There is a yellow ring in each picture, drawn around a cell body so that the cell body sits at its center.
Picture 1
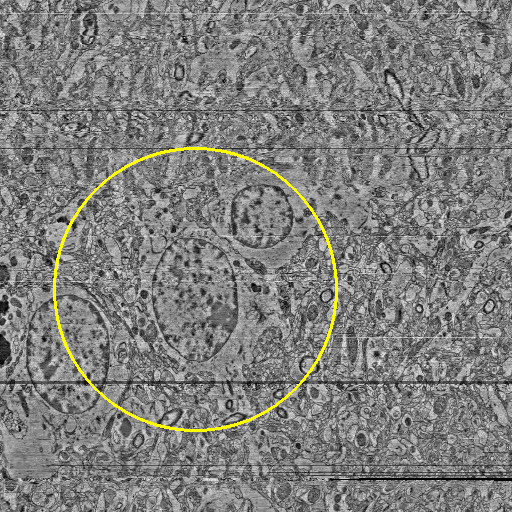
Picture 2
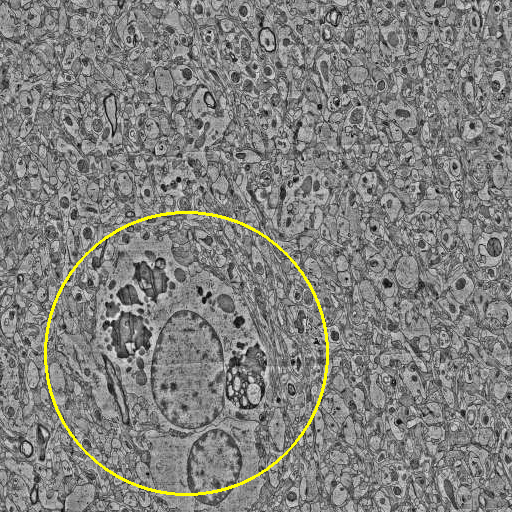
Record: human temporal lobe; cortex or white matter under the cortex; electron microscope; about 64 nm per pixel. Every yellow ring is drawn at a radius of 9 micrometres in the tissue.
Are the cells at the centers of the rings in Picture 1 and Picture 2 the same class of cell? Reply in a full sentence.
Yes, the two cells are the same class of cell.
